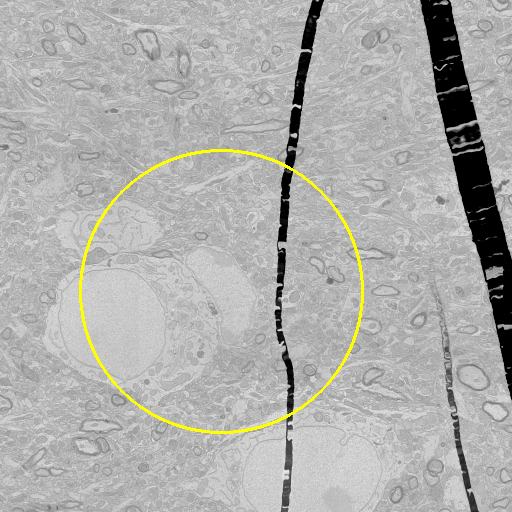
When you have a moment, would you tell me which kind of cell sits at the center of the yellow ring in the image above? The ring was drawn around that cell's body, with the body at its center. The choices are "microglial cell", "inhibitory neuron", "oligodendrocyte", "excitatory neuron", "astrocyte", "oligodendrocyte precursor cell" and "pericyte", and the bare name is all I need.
oligodendrocyte precursor cell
